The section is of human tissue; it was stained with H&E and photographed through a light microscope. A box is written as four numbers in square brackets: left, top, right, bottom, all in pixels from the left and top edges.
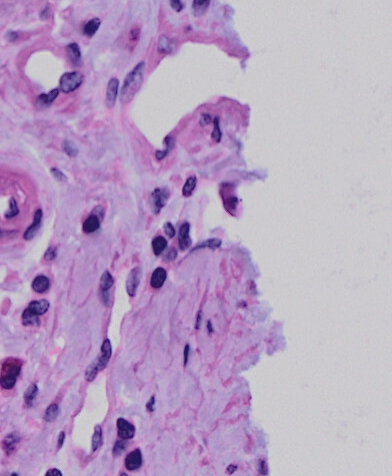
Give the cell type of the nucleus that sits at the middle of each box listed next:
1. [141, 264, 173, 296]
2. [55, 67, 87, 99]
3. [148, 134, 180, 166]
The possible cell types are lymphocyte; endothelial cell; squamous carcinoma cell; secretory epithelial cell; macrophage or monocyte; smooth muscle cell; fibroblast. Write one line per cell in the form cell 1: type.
cell 1: lymphocyte
cell 2: endothelial cell
cell 3: endothelial cell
